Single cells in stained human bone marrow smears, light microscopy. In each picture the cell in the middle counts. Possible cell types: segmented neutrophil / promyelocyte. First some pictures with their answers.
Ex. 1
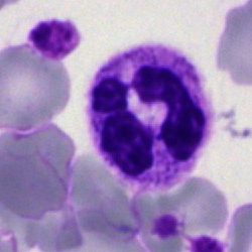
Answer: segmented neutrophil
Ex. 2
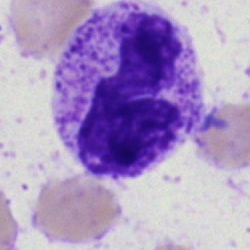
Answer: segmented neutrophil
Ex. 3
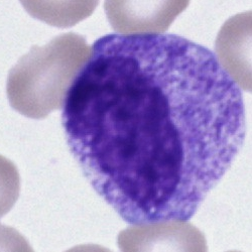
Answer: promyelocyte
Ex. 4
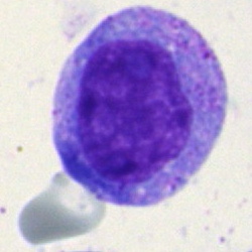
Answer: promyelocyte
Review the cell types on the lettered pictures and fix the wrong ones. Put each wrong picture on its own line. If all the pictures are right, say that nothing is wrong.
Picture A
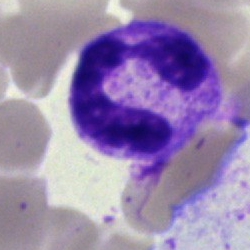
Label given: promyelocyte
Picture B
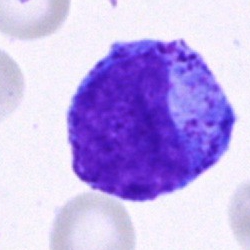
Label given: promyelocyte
A is labelled promyelocyte; correct label: segmented neutrophil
